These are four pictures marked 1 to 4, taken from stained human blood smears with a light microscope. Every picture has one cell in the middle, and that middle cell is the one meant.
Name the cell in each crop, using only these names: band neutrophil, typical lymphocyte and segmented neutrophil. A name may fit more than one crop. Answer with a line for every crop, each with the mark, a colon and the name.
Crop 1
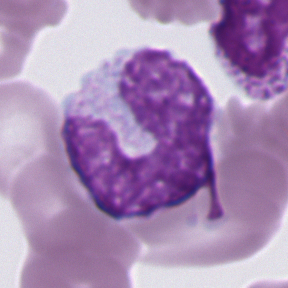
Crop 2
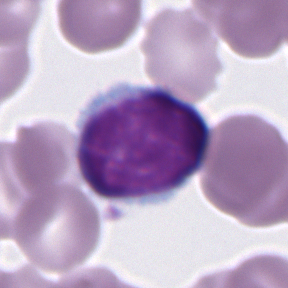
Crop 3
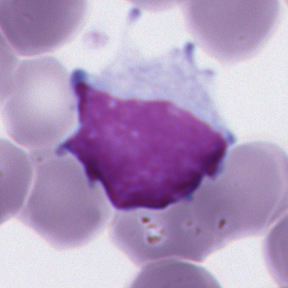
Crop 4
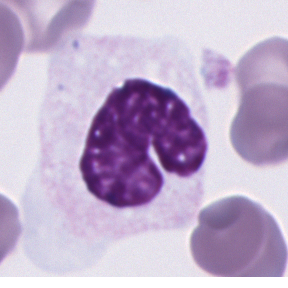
1: band neutrophil
2: typical lymphocyte
3: typical lymphocyte
4: band neutrophil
